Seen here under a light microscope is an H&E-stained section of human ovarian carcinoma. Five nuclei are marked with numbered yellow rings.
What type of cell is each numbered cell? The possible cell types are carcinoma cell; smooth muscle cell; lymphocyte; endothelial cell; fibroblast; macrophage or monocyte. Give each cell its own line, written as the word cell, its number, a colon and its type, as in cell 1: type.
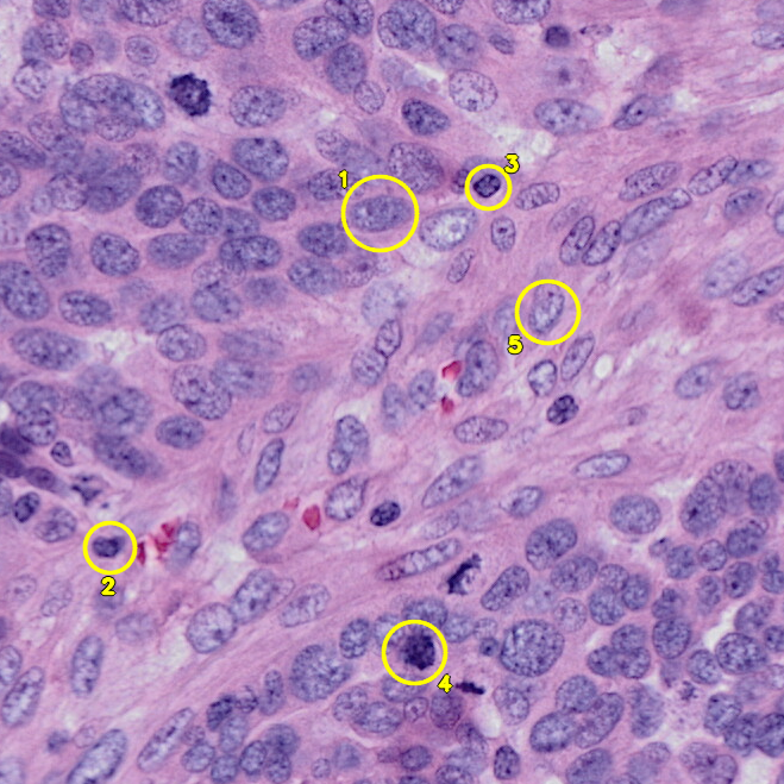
cell 1: carcinoma cell
cell 2: lymphocyte
cell 3: lymphocyte
cell 4: carcinoma cell
cell 5: fibroblast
